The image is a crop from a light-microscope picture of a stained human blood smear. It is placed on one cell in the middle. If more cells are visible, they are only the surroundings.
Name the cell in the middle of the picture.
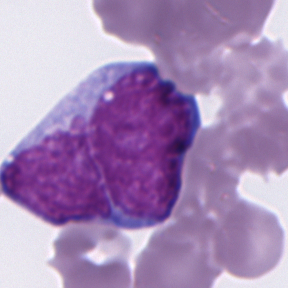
blast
